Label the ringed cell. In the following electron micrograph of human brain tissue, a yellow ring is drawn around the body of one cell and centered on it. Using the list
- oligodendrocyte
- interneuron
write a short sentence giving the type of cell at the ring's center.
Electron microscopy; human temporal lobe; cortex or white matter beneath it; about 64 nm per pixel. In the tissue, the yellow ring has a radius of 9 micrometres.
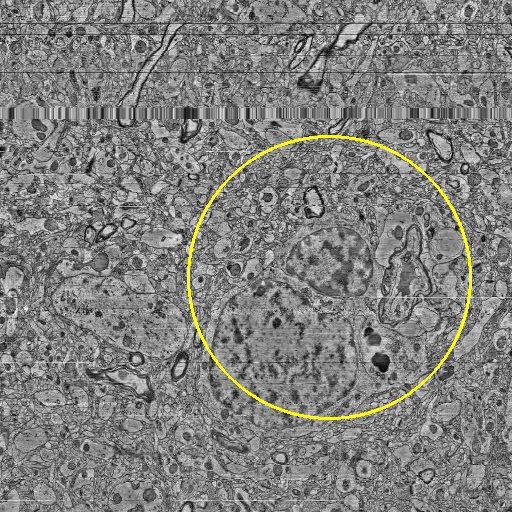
The cell body at the ring's center is that of an oligodendrocyte.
